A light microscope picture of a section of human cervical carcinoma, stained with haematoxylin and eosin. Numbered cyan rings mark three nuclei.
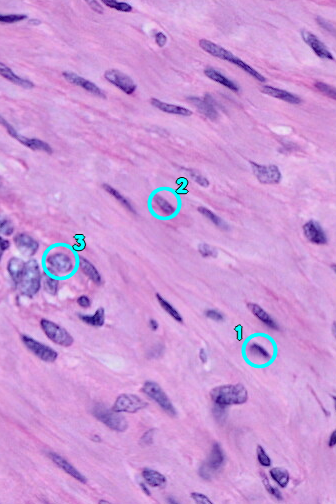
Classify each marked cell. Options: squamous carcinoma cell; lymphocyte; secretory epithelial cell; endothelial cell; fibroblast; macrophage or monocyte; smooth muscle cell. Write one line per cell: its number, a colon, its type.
1: fibroblast
2: smooth muscle cell
3: endothelial cell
